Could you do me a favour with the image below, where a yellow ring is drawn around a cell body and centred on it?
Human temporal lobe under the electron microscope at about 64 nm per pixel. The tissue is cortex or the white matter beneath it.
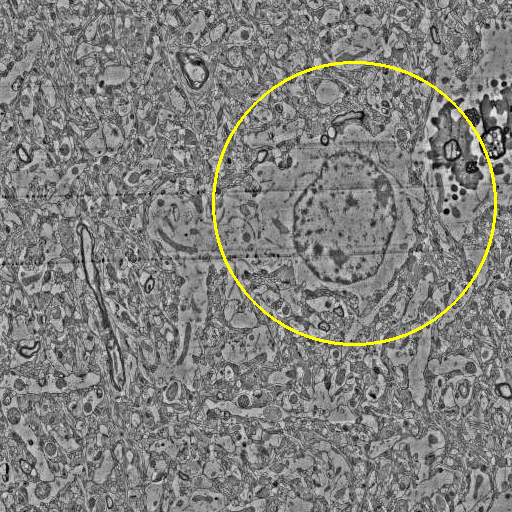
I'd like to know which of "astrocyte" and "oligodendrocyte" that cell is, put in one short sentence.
The cell at the ring's centre is an astrocyte.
